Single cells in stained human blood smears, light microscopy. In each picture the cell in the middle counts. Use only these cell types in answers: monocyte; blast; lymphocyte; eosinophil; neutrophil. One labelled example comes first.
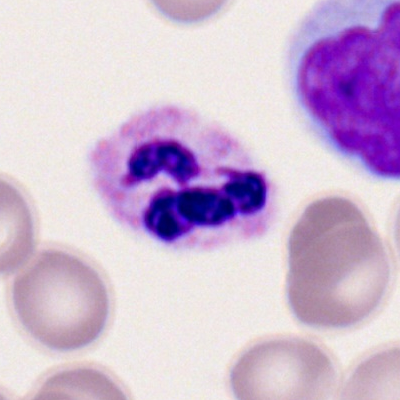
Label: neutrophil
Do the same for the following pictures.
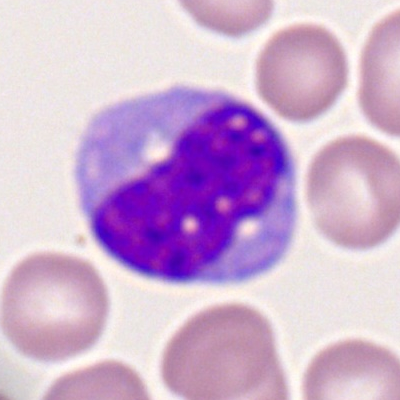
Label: monocyte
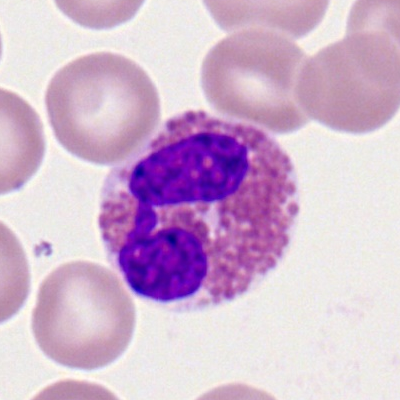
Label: eosinophil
